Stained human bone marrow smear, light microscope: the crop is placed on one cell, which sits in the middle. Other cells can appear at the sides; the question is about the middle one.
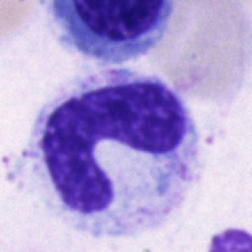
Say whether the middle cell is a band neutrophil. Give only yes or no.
yes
